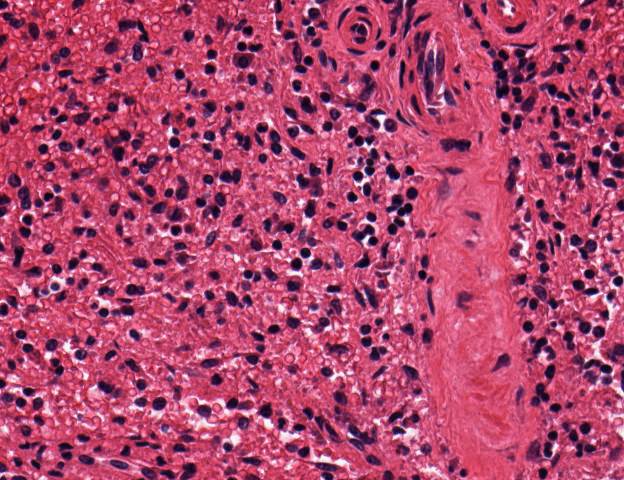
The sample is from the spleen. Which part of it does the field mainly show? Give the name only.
red pulp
